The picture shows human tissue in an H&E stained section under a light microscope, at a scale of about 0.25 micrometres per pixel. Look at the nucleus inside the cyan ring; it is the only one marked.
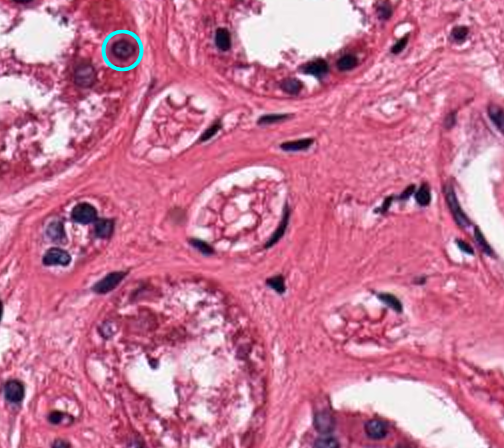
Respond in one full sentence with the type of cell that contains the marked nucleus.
The mark indicates the nucleus of a proximal tubule cell.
